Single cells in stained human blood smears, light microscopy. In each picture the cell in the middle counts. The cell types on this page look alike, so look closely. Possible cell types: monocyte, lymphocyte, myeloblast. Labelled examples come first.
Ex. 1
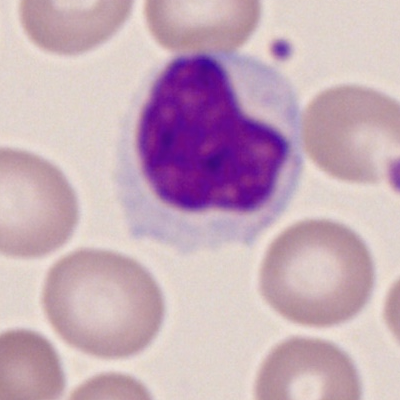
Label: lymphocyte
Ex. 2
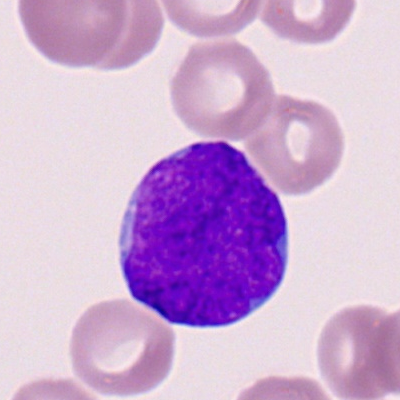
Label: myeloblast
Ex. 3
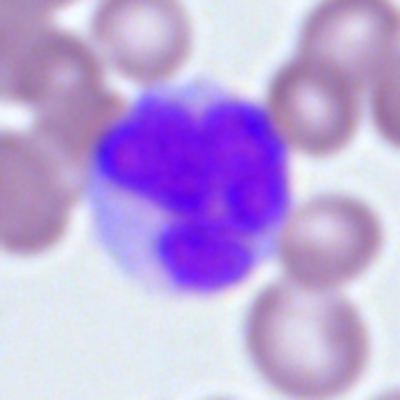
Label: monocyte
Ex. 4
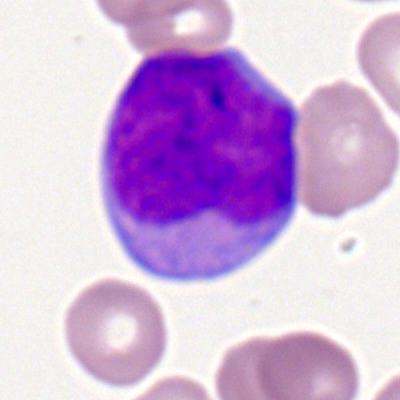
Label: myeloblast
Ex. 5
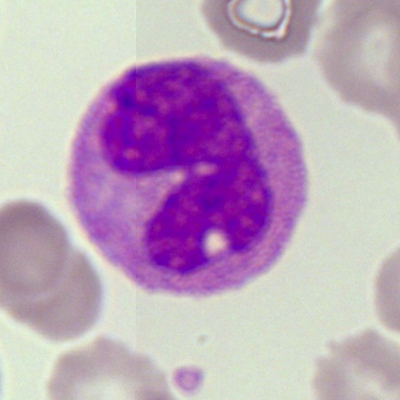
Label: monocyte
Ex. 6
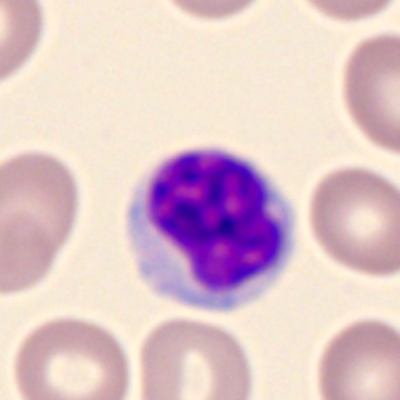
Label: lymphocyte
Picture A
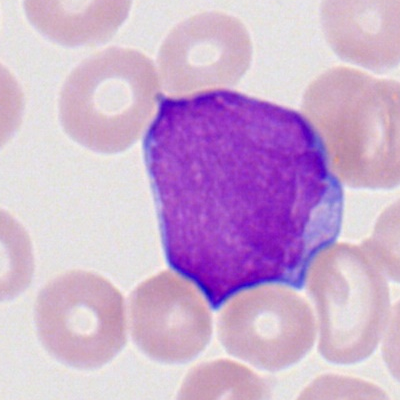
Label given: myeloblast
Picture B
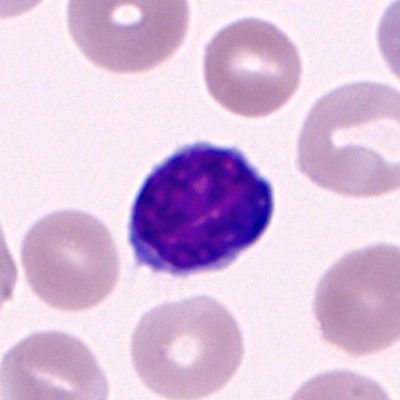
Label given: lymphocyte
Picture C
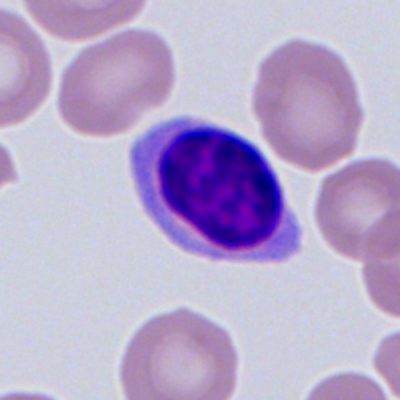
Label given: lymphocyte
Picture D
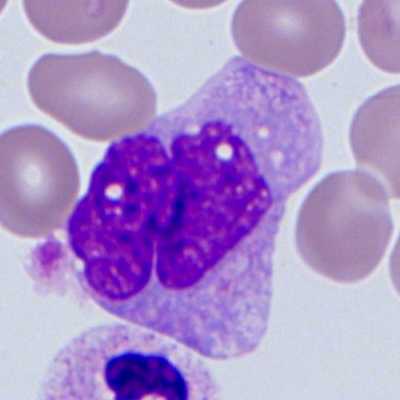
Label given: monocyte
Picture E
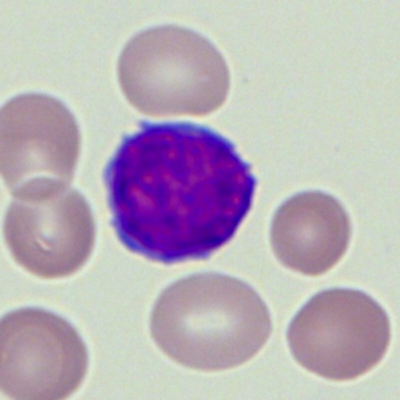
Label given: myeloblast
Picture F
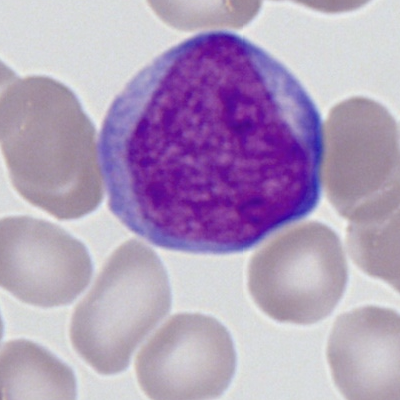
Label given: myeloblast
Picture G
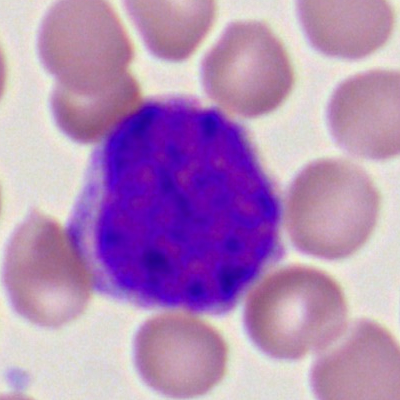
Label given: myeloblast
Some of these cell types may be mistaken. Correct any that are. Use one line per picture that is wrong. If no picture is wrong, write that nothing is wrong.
E is labelled myeloblast; correct label: lymphocyte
